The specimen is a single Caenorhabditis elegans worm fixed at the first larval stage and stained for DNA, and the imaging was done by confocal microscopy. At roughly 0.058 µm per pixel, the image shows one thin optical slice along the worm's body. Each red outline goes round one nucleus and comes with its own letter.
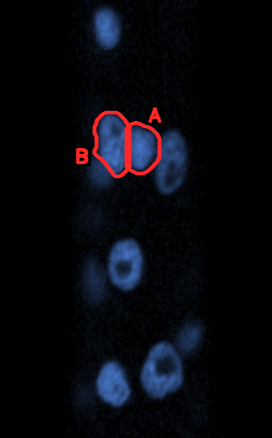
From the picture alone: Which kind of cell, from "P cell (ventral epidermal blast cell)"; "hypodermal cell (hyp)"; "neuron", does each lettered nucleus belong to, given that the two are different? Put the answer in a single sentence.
A belongs to a neuron and B to a P cell (ventral epidermal blast cell).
